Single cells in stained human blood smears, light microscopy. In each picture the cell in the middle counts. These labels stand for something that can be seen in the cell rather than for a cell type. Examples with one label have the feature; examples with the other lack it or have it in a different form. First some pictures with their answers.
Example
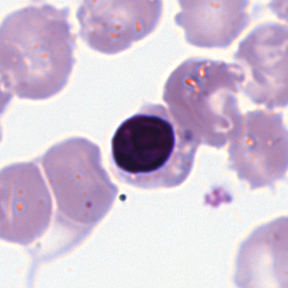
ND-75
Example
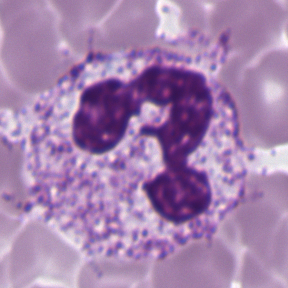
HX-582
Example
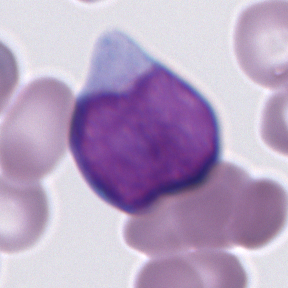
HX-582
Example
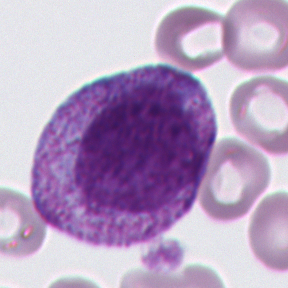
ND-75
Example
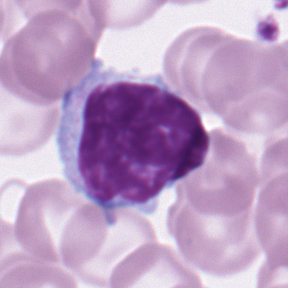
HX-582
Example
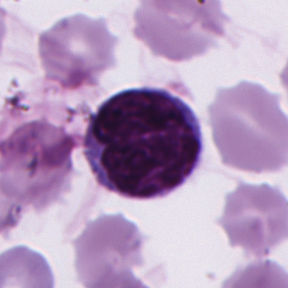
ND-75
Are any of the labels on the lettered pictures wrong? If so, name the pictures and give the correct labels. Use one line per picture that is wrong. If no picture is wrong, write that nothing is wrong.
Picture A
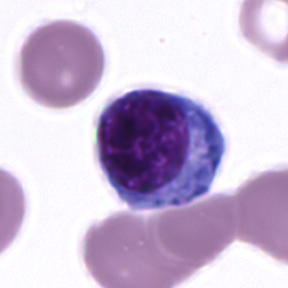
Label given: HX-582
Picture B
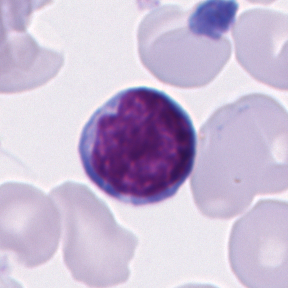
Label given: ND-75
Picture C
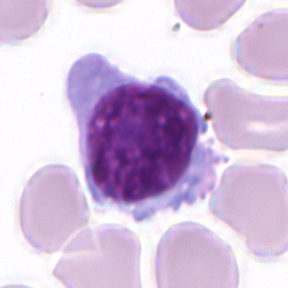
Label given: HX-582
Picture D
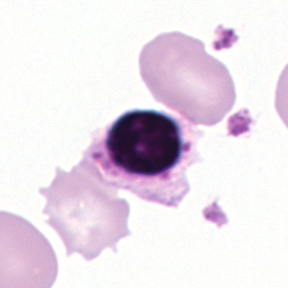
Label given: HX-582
A: change HX-582 to ND-75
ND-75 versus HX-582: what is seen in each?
ND-75, smooth outline; HX-582, ragged outline or projections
